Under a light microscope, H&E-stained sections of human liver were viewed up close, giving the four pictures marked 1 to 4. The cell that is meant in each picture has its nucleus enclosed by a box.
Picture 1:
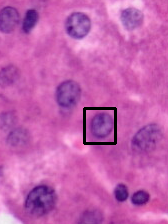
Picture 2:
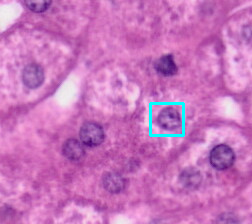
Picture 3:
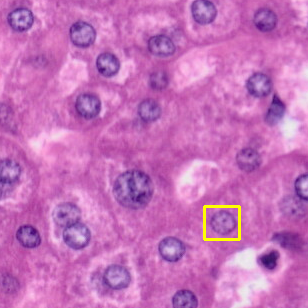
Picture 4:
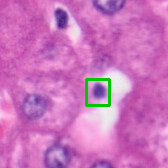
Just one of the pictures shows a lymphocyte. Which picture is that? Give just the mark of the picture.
4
